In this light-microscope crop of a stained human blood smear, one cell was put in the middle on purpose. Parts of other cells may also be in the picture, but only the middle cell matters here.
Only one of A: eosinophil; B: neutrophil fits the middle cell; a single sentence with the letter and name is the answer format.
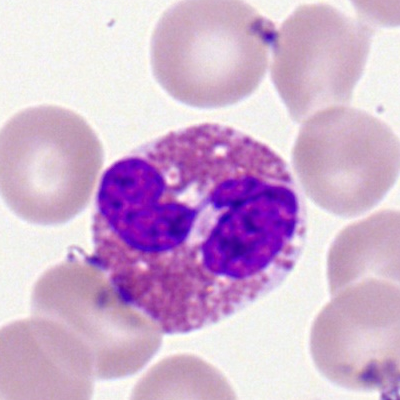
Since the cell in the middle is an eosinophil, option A is correct.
